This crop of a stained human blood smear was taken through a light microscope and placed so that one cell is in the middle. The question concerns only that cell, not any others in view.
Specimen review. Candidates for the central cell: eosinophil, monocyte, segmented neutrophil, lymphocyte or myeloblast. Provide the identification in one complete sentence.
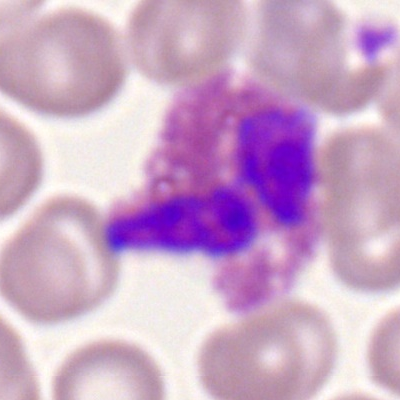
The identification for the central cell is an eosinophil.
